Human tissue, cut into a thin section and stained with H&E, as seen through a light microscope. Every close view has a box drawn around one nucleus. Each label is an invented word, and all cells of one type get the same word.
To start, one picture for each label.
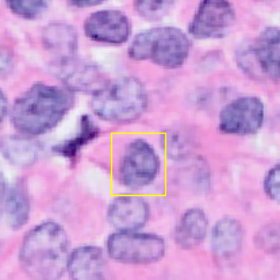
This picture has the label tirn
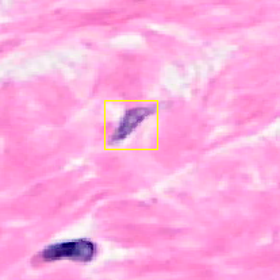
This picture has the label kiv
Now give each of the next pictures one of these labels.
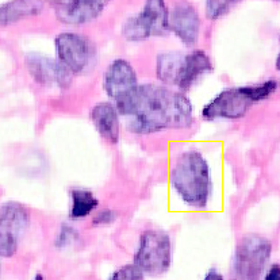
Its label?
tirn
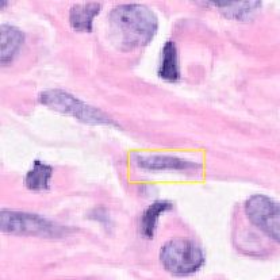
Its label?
kiv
